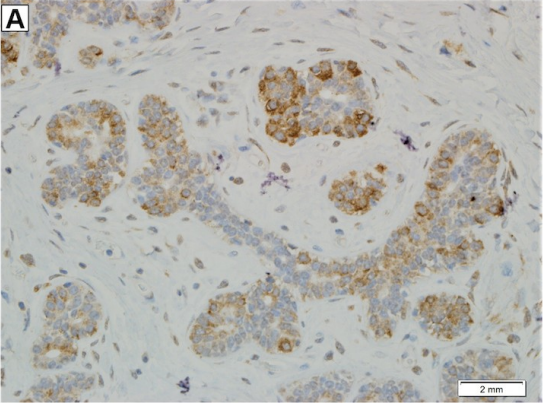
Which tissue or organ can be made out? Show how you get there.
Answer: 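Small ducts and acini lined by epithelial cells. Clusters of glands set in loose fibrous stroma with spindle cells.
Answer: Breast tissue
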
